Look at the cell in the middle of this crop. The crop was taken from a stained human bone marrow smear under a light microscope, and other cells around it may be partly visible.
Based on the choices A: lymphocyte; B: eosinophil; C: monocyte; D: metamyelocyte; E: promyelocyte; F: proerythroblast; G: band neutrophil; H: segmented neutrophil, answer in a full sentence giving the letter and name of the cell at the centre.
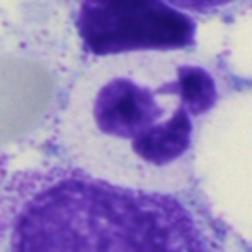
The central cell, a segmented neutrophil, is correctly identified by option H.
